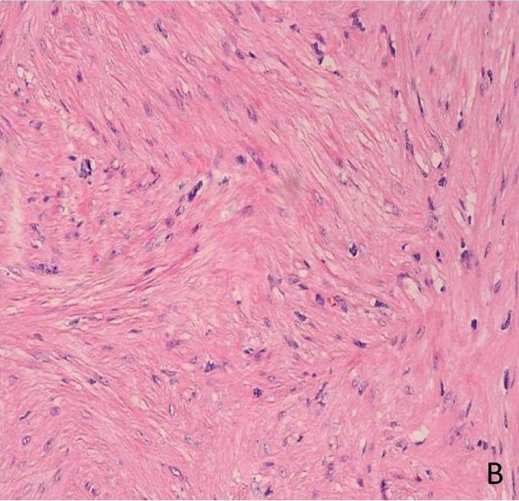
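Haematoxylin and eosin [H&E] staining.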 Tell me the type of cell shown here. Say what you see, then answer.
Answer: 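Spindle-shaped cells with pink fibrillar cytoplasm lie in interlacing fascicles. Some cells show small clear vacuoles next to their nuclei.
Conclusion: smooth muscle cells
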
